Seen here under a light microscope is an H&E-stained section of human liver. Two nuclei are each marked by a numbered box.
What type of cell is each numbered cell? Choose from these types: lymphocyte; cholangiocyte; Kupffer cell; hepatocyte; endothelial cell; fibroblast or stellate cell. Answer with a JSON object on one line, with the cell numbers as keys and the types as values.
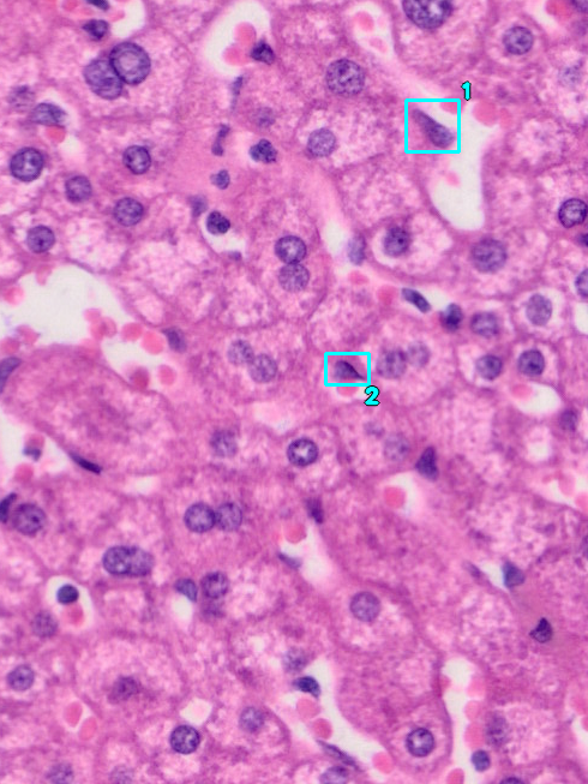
{"1": "Kupffer cell", "2": "endothelial cell"}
